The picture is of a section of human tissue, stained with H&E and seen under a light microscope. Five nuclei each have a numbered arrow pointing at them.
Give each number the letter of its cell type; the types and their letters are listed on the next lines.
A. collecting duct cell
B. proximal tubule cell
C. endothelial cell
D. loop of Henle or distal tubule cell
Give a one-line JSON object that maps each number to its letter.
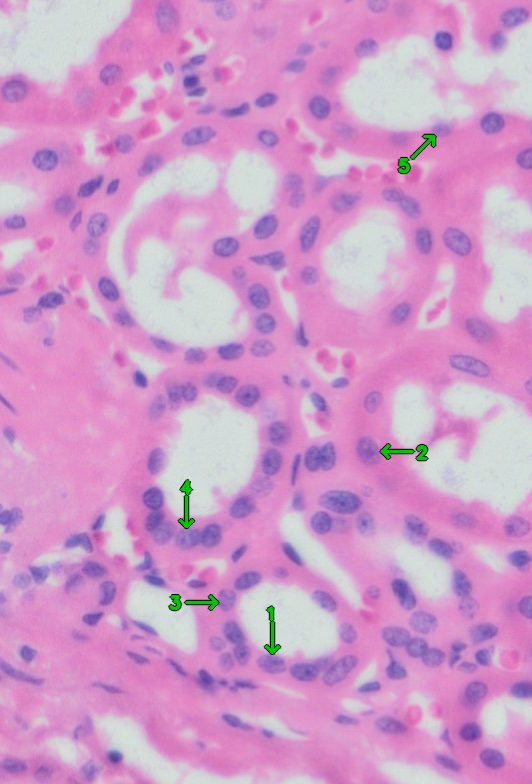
{"1": "A", "2": "B", "3": "A", "4": "A", "5": "D"}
